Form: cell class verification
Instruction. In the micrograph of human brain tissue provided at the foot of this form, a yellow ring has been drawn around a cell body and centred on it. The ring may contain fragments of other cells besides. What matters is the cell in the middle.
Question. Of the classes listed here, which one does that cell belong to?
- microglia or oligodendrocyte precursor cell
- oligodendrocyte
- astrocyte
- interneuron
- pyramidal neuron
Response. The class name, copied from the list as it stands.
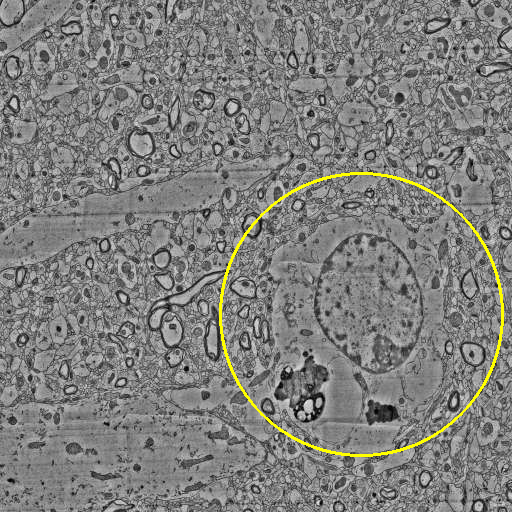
astrocyte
